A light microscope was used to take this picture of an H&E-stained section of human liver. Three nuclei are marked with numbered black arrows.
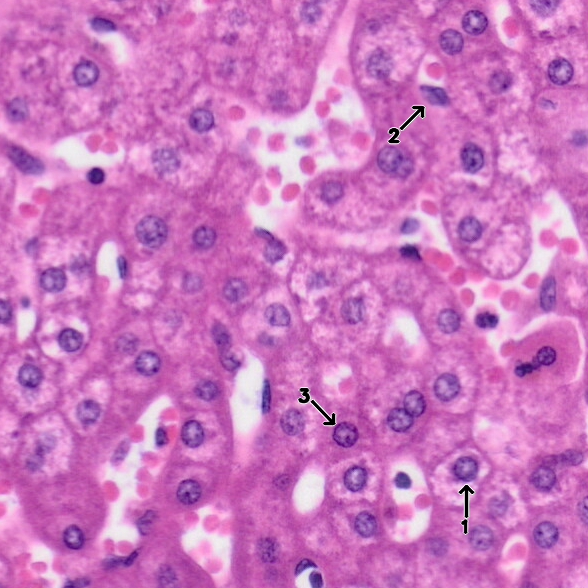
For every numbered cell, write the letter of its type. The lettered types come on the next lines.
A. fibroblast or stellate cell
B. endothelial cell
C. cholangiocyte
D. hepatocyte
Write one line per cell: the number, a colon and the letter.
1: D
2: B
3: D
